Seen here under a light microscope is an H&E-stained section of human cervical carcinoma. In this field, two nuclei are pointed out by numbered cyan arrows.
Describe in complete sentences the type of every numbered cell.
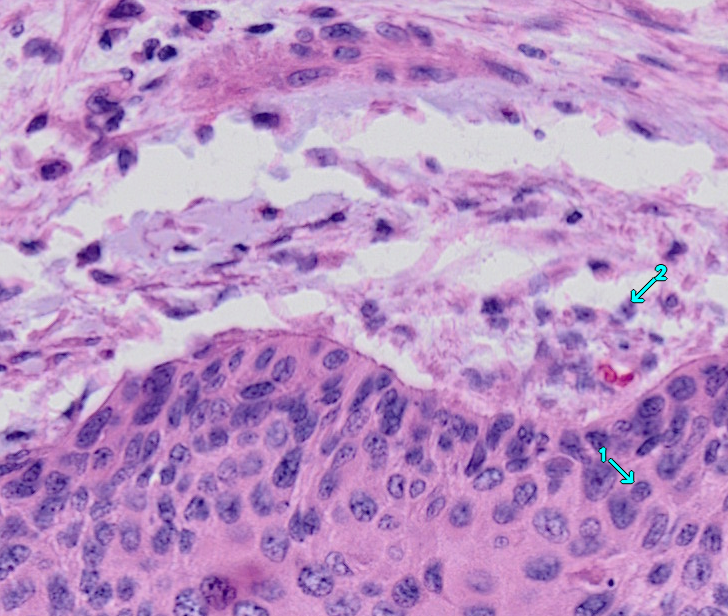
Cell 1 is a squamous carcinoma cell and cell 2 is a fibroblast.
